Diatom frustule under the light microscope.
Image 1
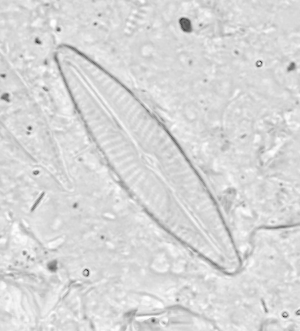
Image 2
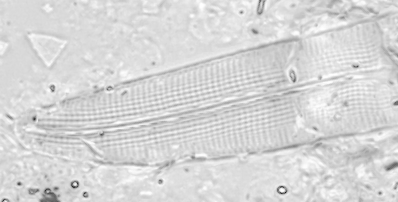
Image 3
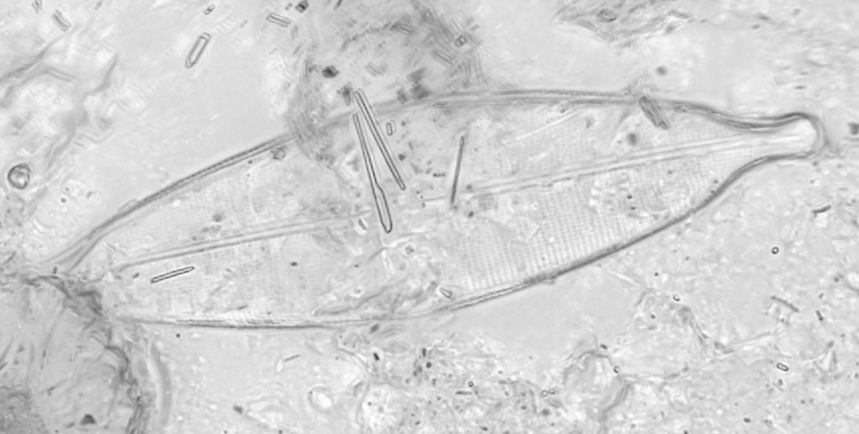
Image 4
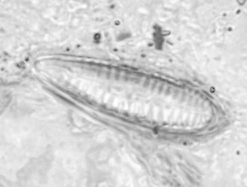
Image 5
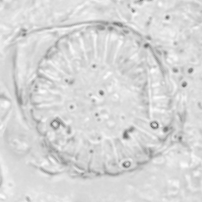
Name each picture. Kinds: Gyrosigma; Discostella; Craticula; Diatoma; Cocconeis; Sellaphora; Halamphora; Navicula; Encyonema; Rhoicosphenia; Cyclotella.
Picture 1: Navicula
Picture 2: Gyrosigma
Picture 3: Craticula
Picture 4: Rhoicosphenia
Picture 5: Cyclotella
